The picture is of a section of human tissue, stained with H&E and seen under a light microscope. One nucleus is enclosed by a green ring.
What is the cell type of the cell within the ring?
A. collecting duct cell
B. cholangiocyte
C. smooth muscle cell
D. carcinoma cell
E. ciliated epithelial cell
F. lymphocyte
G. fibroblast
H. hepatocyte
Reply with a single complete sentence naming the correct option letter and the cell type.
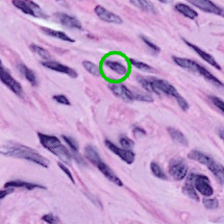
The correct pick is option C; the cell within the ring is a smooth muscle cell.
